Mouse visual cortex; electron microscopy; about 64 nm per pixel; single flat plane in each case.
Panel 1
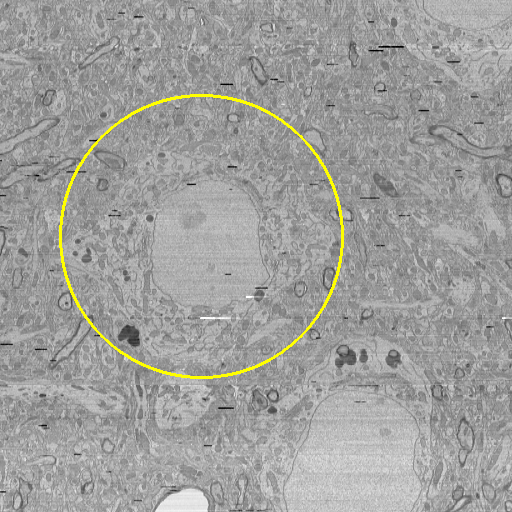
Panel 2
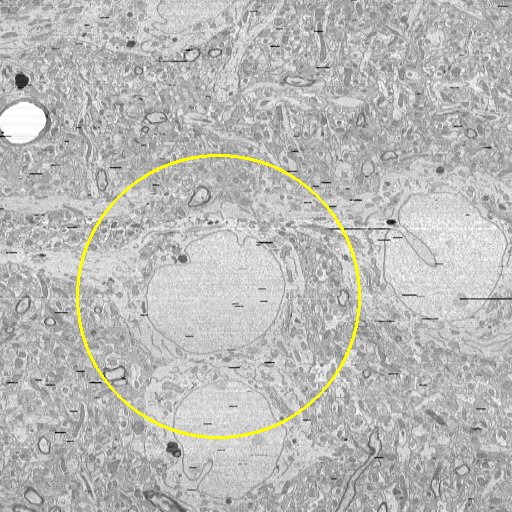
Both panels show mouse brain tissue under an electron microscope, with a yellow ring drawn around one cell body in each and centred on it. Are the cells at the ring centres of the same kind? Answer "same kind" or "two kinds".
two kinds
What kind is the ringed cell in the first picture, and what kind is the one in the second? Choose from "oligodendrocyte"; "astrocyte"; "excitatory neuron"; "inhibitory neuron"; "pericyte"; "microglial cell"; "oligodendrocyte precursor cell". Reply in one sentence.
The first cell is an inhibitory neuron; the second is an excitatory neuron.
